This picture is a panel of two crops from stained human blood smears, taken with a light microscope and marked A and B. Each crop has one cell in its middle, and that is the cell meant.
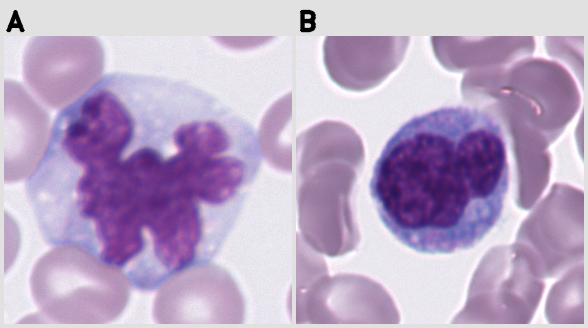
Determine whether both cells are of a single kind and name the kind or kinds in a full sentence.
Yes, the centred cells are monocytes in both crops.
